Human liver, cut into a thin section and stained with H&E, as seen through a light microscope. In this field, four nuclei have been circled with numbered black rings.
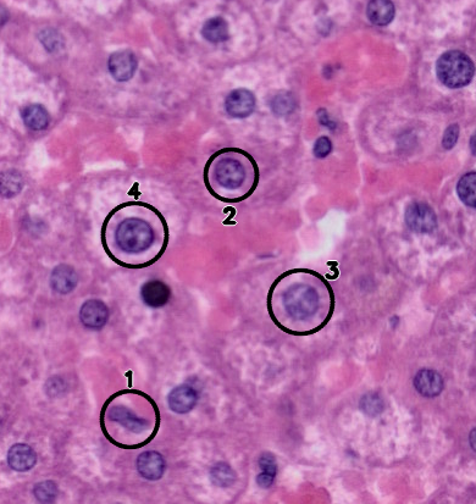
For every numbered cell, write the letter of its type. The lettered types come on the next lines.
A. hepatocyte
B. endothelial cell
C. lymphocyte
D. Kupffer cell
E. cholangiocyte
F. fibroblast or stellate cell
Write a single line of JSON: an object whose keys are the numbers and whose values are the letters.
{"1": "D", "2": "A", "3": "A", "4": "A"}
